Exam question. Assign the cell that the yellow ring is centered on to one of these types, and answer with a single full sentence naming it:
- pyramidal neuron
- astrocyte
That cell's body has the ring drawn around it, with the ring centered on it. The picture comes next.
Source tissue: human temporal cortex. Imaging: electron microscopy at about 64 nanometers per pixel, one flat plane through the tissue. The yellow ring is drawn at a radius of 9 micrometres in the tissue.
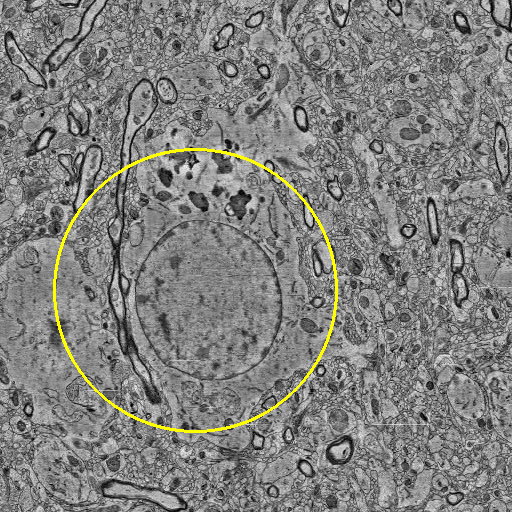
In the micrograph, the cell the yellow ring is centered on is an astrocyte.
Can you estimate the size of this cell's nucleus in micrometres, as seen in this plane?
The nucleus has a long axis of about 11 micrometres and a short axis of about 9 micrometres in this plane.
